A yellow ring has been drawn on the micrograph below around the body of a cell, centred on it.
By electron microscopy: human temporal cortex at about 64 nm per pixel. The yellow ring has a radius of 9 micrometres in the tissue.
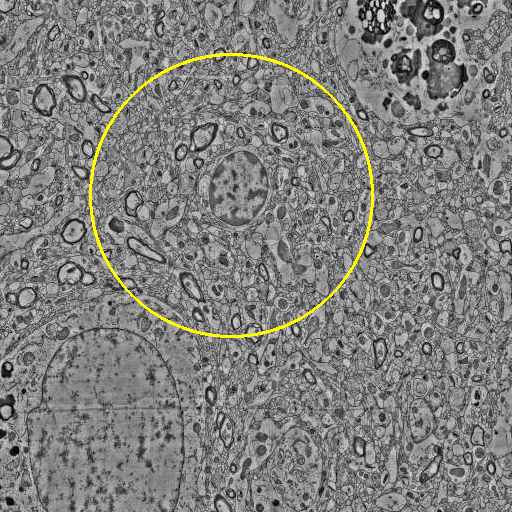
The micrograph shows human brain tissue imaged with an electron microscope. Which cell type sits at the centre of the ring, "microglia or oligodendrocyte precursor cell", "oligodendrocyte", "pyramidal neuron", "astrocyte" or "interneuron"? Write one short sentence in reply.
The cell sitting at the centre of the ring is a microglial cell or oligodendrocyte precursor cell.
